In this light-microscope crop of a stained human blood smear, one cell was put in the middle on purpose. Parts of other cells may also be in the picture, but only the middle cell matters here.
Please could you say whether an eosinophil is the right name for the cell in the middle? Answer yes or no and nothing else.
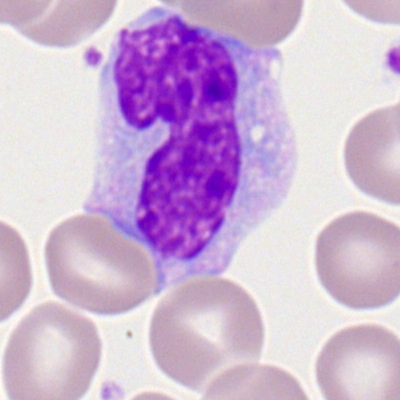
no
